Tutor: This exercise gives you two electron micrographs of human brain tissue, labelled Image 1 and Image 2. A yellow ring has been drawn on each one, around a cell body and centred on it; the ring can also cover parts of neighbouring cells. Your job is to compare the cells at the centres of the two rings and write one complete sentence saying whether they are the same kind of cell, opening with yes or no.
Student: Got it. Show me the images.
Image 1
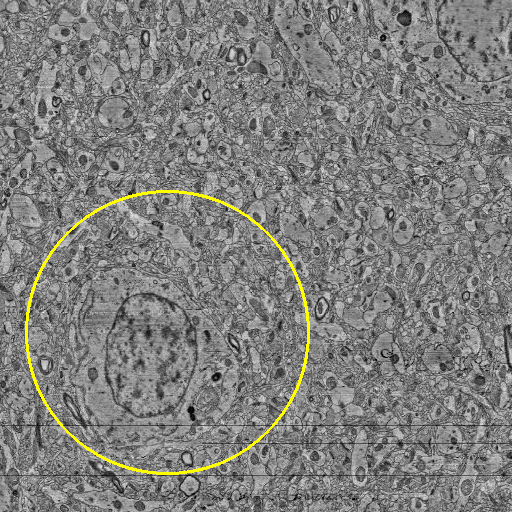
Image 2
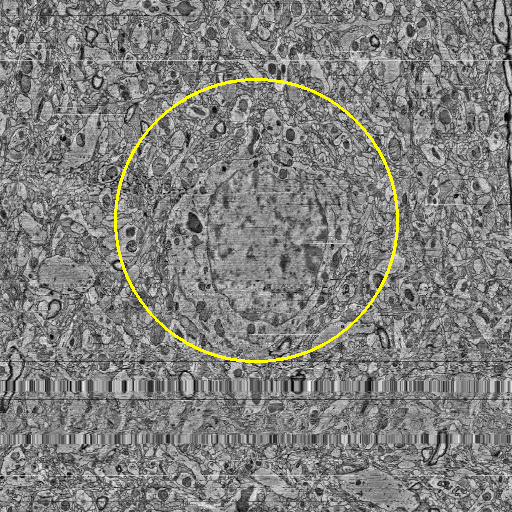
No, the two cells belong to two kinds.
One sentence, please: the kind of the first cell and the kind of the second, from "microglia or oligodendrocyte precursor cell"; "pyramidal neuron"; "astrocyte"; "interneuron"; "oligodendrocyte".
The ring in the first picture surrounds a pyramidal neuron, and the ring in the second surrounds an interneuron.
